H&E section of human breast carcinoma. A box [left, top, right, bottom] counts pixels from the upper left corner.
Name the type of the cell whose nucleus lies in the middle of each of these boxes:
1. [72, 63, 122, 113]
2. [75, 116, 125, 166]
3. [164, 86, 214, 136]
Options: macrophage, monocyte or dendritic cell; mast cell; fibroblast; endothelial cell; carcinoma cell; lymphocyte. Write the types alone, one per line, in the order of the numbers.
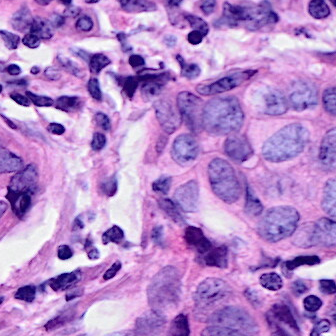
lymphocyte
lymphocyte
carcinoma cell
